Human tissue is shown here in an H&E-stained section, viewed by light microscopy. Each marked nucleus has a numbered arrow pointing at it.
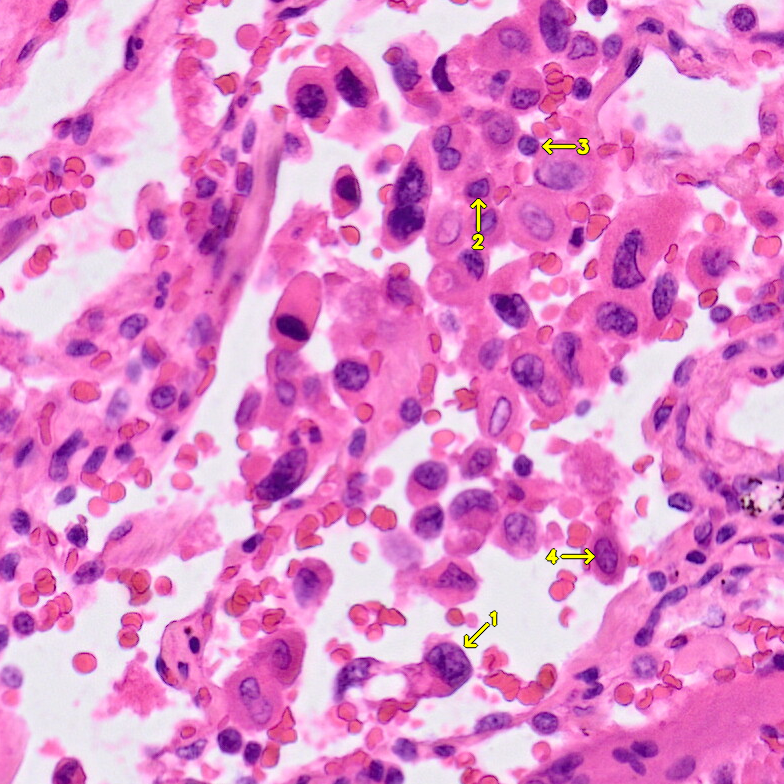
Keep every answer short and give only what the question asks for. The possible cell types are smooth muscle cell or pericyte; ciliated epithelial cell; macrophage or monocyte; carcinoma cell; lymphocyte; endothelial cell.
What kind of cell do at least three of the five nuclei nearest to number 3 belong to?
macrophage or monocyte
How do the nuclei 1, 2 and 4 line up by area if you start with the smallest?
2, 4, 1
